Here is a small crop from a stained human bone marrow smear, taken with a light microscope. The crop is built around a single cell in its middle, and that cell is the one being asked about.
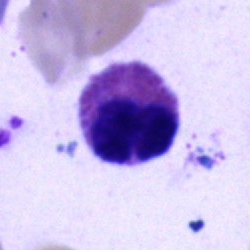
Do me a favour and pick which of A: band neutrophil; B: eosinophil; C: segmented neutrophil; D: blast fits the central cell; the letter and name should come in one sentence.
Since the cell in the middle is an eosinophil, option B is correct.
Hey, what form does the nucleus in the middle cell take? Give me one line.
The nucleus here is split into two or more lobes, not one.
